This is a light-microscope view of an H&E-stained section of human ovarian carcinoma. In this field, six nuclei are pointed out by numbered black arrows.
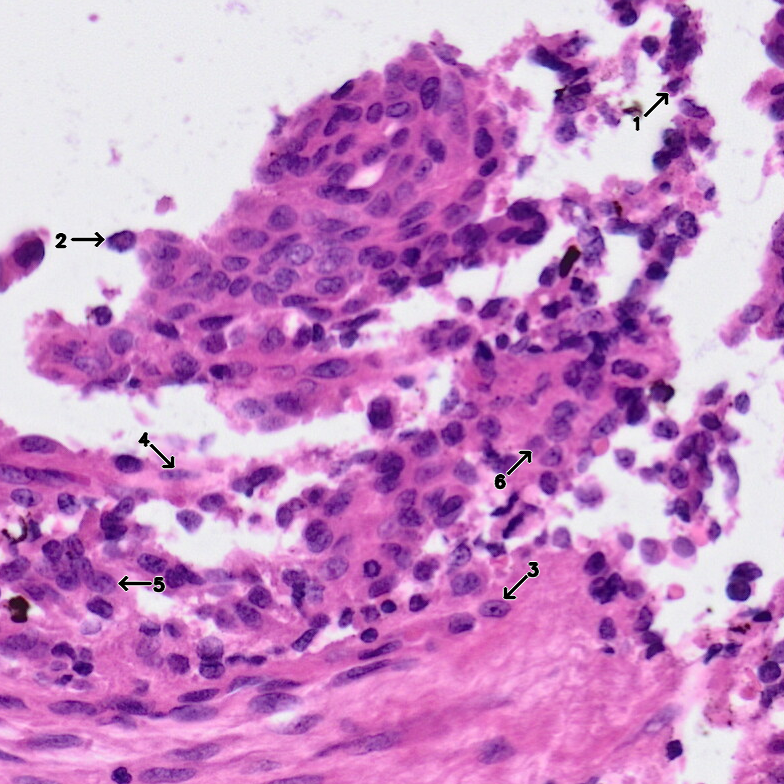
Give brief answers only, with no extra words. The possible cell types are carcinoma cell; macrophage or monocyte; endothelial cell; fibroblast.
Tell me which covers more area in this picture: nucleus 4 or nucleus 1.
4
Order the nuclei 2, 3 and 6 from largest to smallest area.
2, 3, 6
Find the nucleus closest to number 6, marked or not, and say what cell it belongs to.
macrophage or monocyte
